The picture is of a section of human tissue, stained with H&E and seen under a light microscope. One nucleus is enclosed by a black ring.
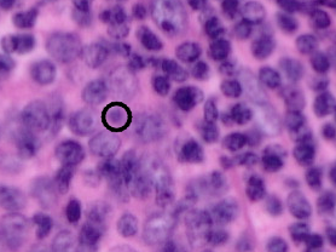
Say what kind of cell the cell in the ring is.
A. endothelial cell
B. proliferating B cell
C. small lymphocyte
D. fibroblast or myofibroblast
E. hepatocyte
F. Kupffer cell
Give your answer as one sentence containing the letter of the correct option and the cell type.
Under option B, the cell in the ring is listed as a proliferating B cell, which is correct.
